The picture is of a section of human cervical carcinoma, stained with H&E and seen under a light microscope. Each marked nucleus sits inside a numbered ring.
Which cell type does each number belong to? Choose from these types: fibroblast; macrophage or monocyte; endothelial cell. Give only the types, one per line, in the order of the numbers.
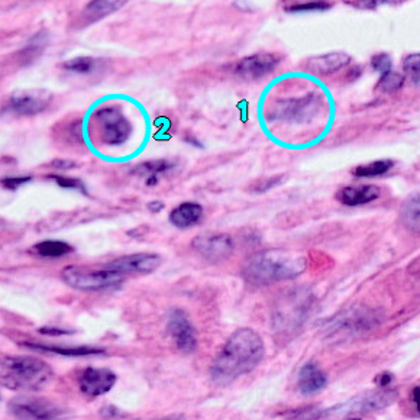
fibroblast
macrophage or monocyte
